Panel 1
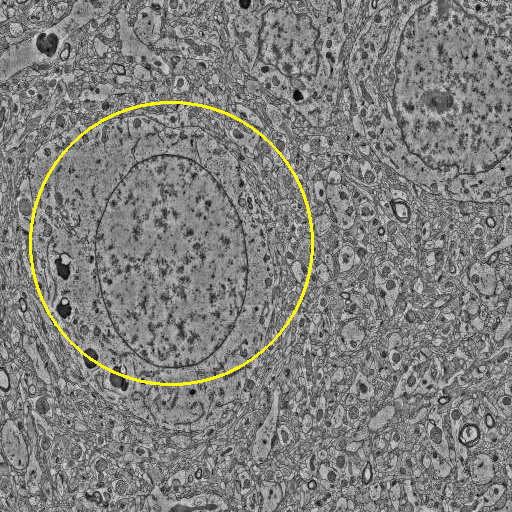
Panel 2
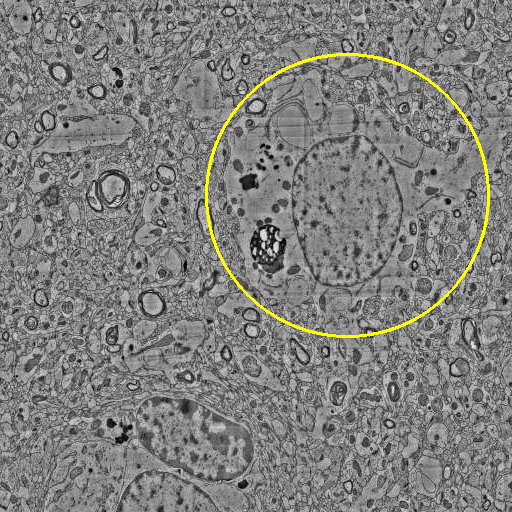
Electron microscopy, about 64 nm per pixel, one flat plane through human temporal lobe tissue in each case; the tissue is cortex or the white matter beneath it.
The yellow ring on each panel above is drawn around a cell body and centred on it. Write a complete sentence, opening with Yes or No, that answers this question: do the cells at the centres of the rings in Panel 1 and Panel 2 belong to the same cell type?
No, the two cells belong to two cell types.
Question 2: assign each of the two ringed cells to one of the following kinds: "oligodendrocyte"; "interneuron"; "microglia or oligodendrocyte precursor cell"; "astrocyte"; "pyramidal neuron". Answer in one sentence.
The two cells are a pyramidal neuron in the first picture and an astrocyte in the second.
